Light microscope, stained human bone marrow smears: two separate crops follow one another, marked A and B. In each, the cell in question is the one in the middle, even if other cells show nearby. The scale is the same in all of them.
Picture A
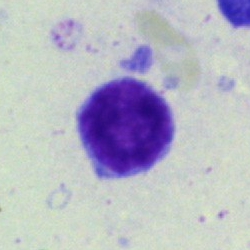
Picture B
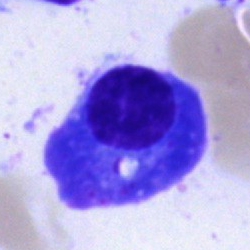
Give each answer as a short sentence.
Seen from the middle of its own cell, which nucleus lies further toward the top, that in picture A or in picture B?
It is the nucleus in picture B that lies further toward the top of its cell.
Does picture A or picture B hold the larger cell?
The cell in picture B is larger, with about 2 times the area of the one in picture A.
